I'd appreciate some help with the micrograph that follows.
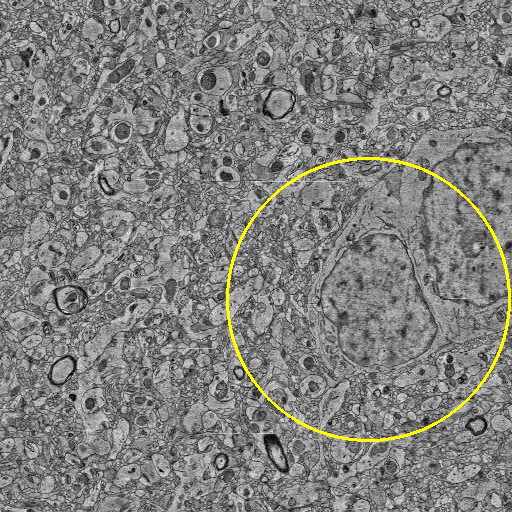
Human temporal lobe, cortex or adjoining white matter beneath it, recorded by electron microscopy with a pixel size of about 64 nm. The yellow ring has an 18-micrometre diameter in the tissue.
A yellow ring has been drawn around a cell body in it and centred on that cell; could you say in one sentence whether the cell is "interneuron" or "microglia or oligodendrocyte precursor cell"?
It is a microglial cell or oligodendrocyte precursor cell at the centre of the ring.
